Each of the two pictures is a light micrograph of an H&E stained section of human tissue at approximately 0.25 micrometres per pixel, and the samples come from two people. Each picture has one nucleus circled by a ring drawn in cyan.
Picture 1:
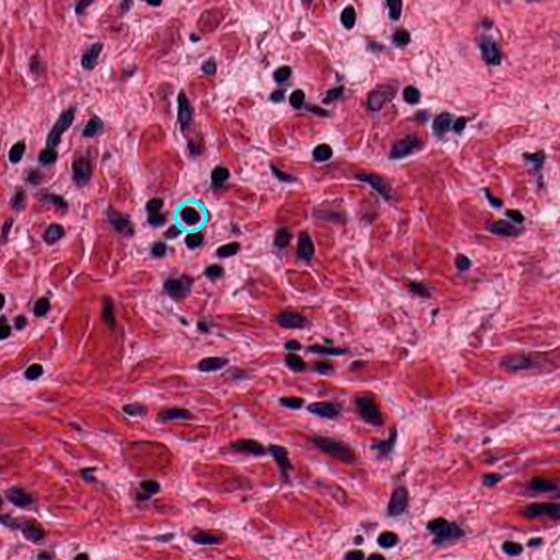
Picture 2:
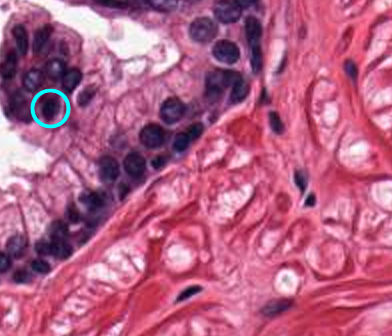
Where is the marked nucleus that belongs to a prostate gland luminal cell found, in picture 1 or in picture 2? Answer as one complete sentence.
As for picture 2, its marked nucleus belongs to a prostate gland luminal cell.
